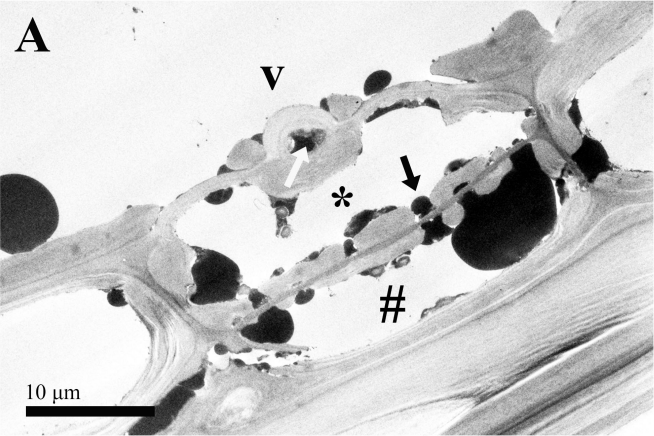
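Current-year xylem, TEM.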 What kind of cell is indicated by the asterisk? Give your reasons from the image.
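The marked cell lies directly against the large empty lumen labelled V. Its wall facing that lumen bears a pit.
Conclusion: contact cell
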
